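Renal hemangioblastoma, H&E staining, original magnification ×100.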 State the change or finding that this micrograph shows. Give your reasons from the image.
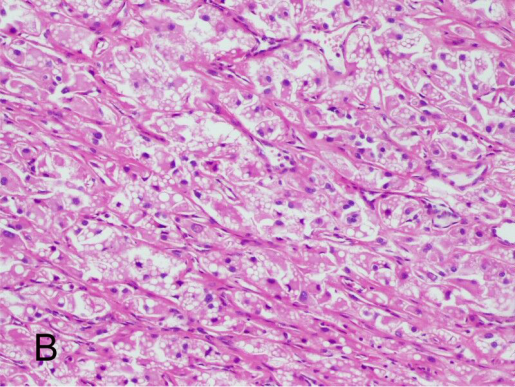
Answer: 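Clusters of pale, vacuolated cells. Thin pink septa with capillary channels surround the clusters.
Answer: arranged in nests and traversed by a vascular network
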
